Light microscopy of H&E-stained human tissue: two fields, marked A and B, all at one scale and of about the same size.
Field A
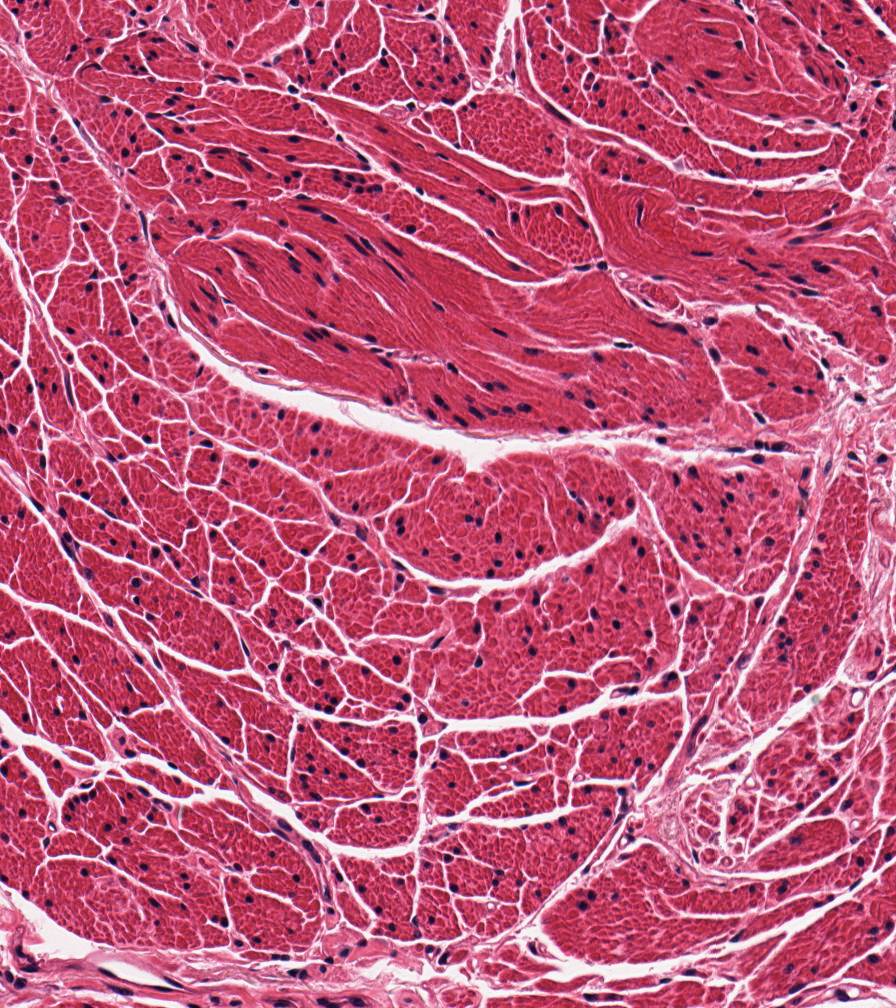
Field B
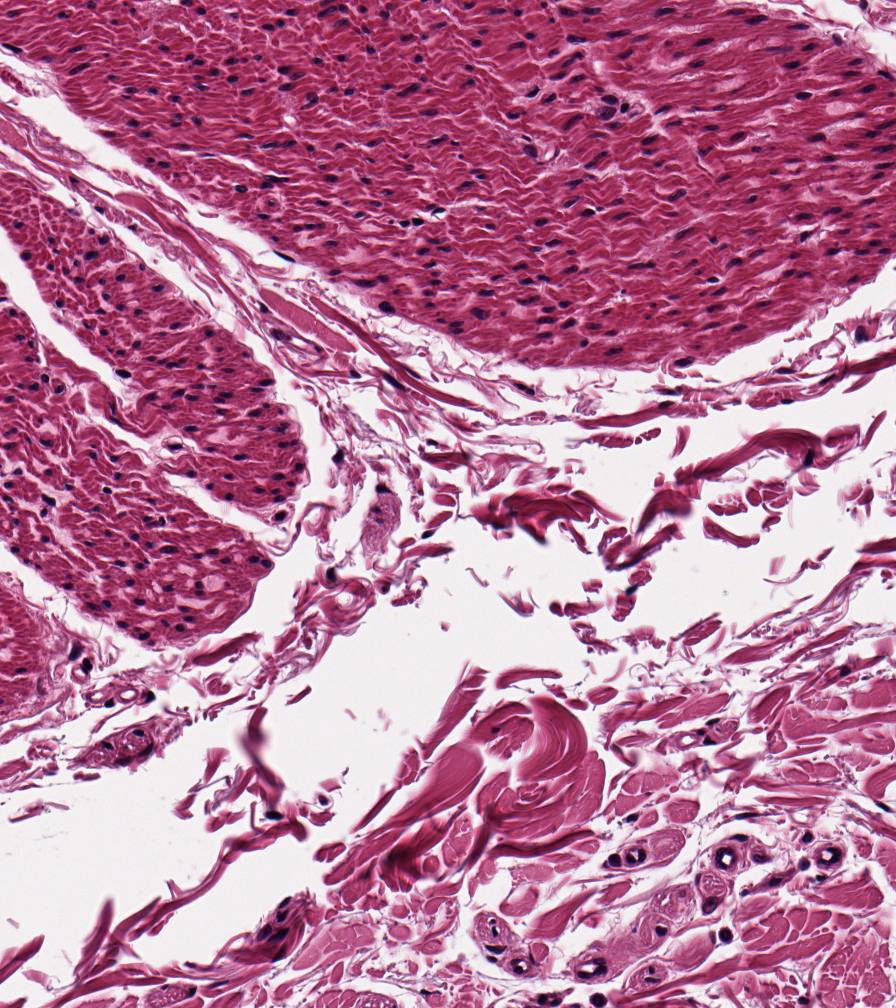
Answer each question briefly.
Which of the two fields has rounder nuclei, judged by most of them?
A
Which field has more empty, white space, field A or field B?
B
